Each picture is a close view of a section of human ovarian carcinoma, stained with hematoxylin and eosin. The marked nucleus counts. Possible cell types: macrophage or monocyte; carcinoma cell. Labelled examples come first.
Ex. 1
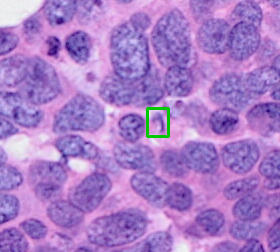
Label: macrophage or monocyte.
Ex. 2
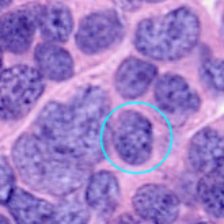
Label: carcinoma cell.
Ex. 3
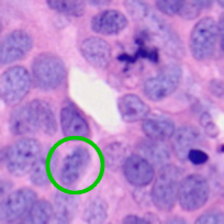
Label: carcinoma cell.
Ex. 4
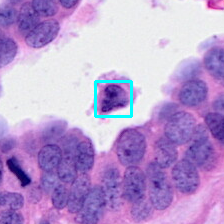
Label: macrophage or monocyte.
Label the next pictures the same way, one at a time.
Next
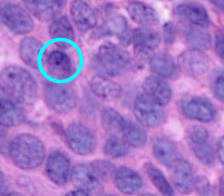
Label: carcinoma cell.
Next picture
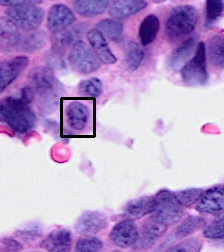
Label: macrophage or monocyte.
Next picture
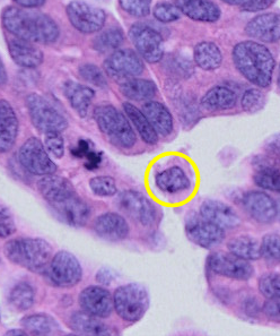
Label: macrophage or monocyte.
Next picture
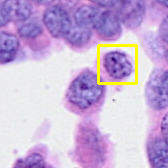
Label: macrophage or monocyte.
